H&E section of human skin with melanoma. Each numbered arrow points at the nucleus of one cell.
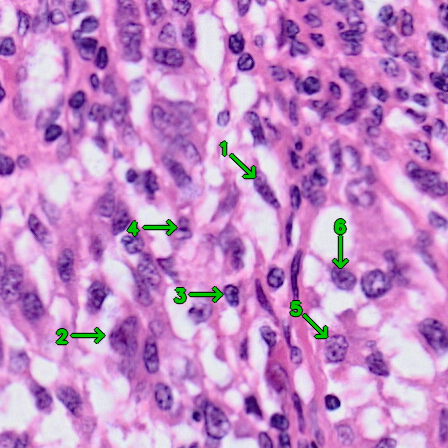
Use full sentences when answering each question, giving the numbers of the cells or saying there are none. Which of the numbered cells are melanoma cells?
Cells 1, 2, 5 and 6 are recognised here as melanoma cells.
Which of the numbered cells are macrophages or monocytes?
Cell 4 is a macrophage or monocyte, while all remaining marked cells are of other types.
